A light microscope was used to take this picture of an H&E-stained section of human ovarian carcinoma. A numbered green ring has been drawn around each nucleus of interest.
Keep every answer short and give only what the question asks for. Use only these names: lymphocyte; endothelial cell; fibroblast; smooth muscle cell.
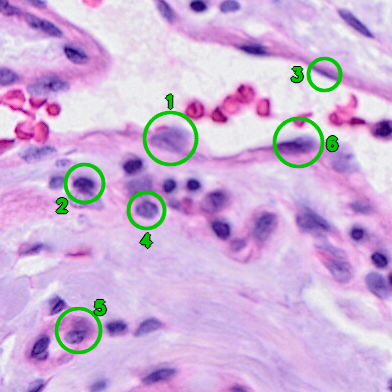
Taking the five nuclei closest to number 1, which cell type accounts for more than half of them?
lymphocyte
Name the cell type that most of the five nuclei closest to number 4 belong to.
lymphocyte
